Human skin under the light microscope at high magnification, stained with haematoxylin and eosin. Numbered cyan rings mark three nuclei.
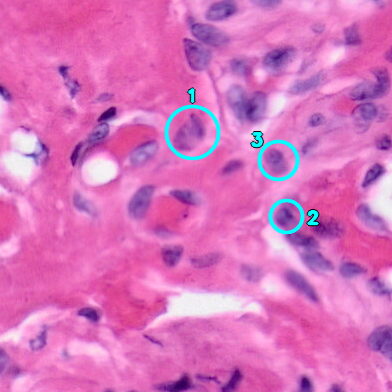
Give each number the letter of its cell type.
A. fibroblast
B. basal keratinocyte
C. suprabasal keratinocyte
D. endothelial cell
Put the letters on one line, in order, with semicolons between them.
A; D; A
